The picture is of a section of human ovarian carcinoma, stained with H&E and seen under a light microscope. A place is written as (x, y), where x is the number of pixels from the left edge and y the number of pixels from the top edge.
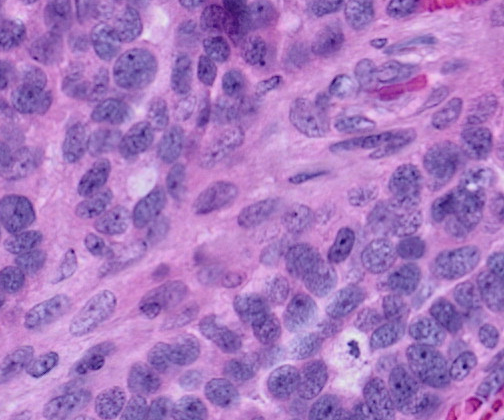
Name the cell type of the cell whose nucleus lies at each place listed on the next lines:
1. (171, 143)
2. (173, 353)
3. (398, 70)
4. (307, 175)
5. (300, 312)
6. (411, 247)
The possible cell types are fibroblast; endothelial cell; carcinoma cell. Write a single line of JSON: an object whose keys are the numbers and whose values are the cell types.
{"1": "carcinoma cell", "2": "carcinoma cell", "3": "endothelial cell", "4": "fibroblast", "5": "carcinoma cell", "6": "carcinoma cell"}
